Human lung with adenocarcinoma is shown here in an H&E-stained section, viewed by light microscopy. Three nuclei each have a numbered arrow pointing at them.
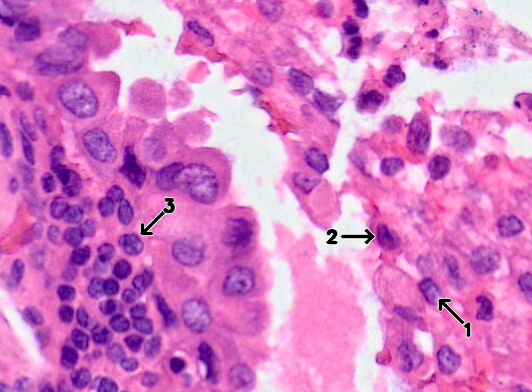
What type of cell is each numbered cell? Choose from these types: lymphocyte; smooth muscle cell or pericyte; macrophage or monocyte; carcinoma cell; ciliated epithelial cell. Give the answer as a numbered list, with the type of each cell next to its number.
1. macrophage or monocyte
2. macrophage or monocyte
3. lymphocyte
